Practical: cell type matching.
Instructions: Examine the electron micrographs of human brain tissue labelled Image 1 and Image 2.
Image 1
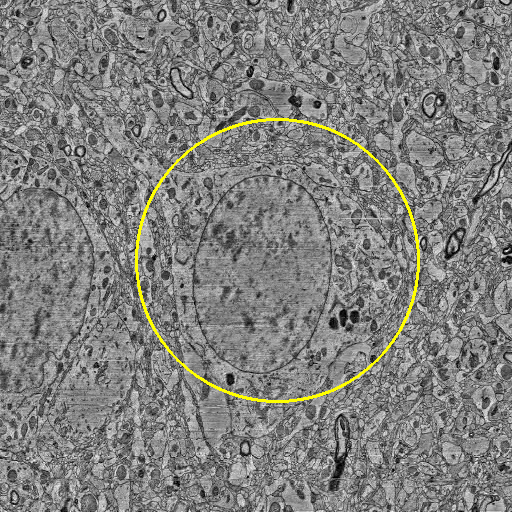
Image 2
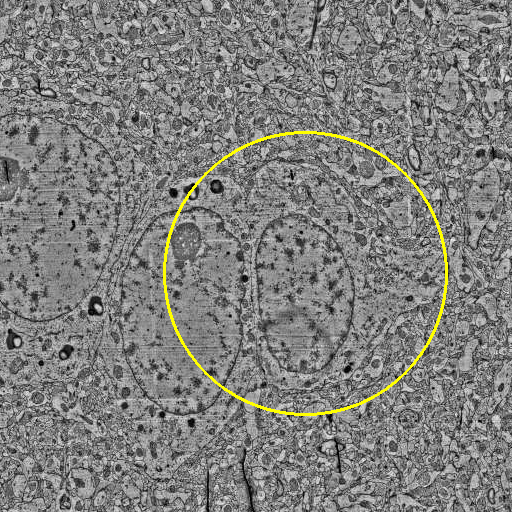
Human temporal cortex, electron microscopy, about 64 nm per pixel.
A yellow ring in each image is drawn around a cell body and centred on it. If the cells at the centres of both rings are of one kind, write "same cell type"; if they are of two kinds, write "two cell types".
same cell type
